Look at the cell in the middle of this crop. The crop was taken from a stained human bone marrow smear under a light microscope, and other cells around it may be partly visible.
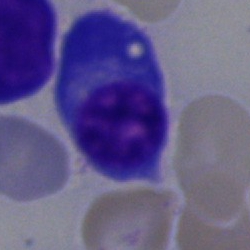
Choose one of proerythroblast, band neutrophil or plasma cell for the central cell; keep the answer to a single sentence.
The cell in the exact centre of the crop is a plasma cell.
